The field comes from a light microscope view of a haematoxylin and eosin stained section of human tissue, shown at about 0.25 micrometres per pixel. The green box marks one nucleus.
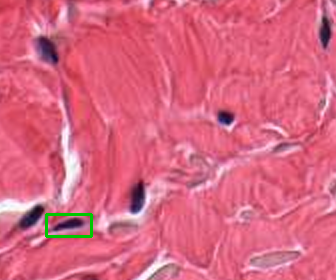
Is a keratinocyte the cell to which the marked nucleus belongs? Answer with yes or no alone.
no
